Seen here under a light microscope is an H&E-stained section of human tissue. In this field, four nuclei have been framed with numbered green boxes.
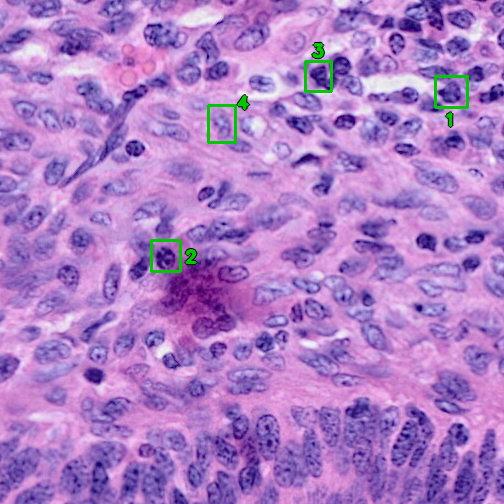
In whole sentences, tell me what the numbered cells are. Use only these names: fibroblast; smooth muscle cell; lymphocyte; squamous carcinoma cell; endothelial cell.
Cells 1, 2 and 3 are lymphocytes. Cell 4 is a smooth muscle cell.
